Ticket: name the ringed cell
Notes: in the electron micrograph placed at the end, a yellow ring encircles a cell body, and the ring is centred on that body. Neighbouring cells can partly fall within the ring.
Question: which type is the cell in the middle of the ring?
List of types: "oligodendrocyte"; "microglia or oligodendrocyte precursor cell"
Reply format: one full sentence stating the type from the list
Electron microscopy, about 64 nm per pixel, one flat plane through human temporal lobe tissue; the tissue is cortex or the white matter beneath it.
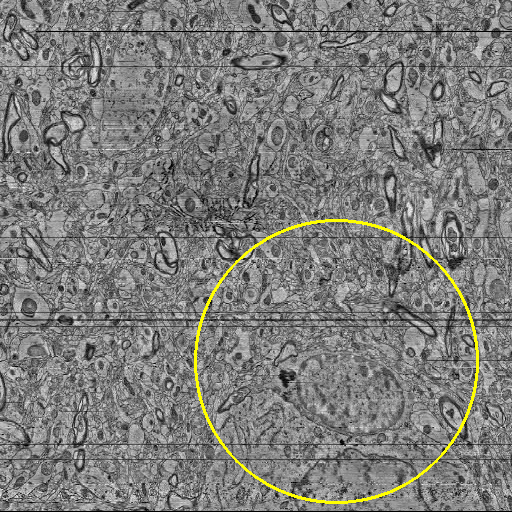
The cell sitting at the centre of the yellow ring is an oligodendrocyte.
